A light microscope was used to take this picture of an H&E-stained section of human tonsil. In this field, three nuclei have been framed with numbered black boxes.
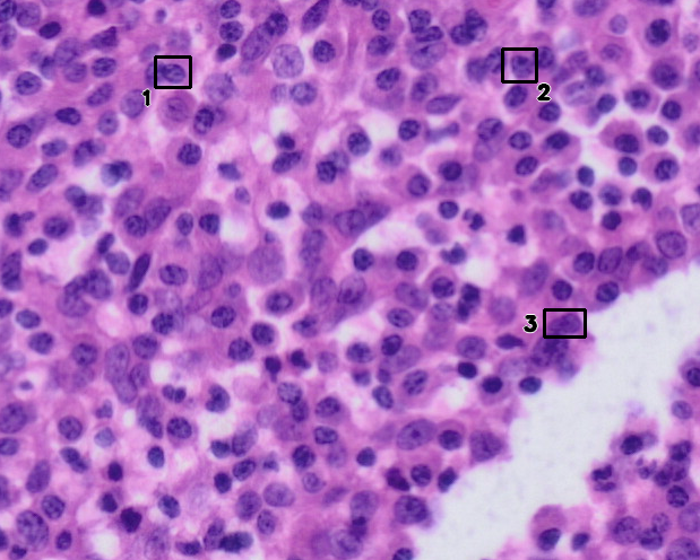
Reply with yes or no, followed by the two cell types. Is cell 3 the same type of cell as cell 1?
No, cell 3 is a squamous epithelial cell and cell 1 is a plasma cell.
